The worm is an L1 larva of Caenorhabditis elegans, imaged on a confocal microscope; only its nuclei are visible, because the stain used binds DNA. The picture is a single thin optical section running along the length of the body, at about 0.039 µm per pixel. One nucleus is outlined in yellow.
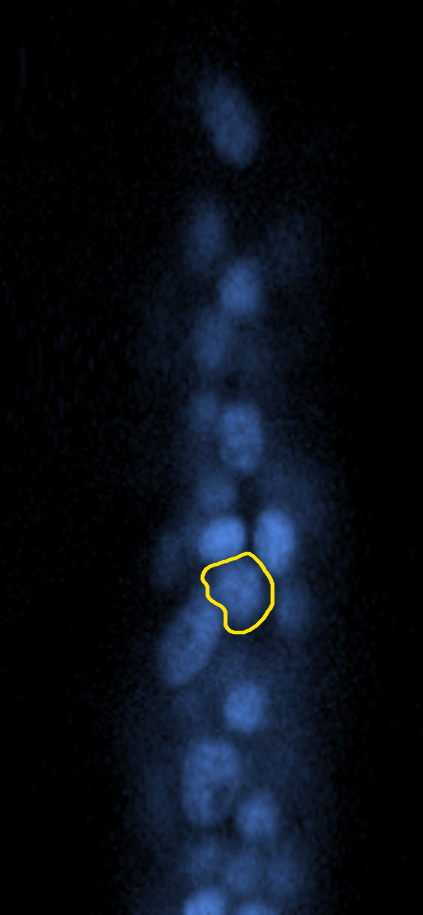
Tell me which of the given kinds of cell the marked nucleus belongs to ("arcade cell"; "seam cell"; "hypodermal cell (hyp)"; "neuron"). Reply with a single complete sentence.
The marked nucleus belongs to a neuron.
